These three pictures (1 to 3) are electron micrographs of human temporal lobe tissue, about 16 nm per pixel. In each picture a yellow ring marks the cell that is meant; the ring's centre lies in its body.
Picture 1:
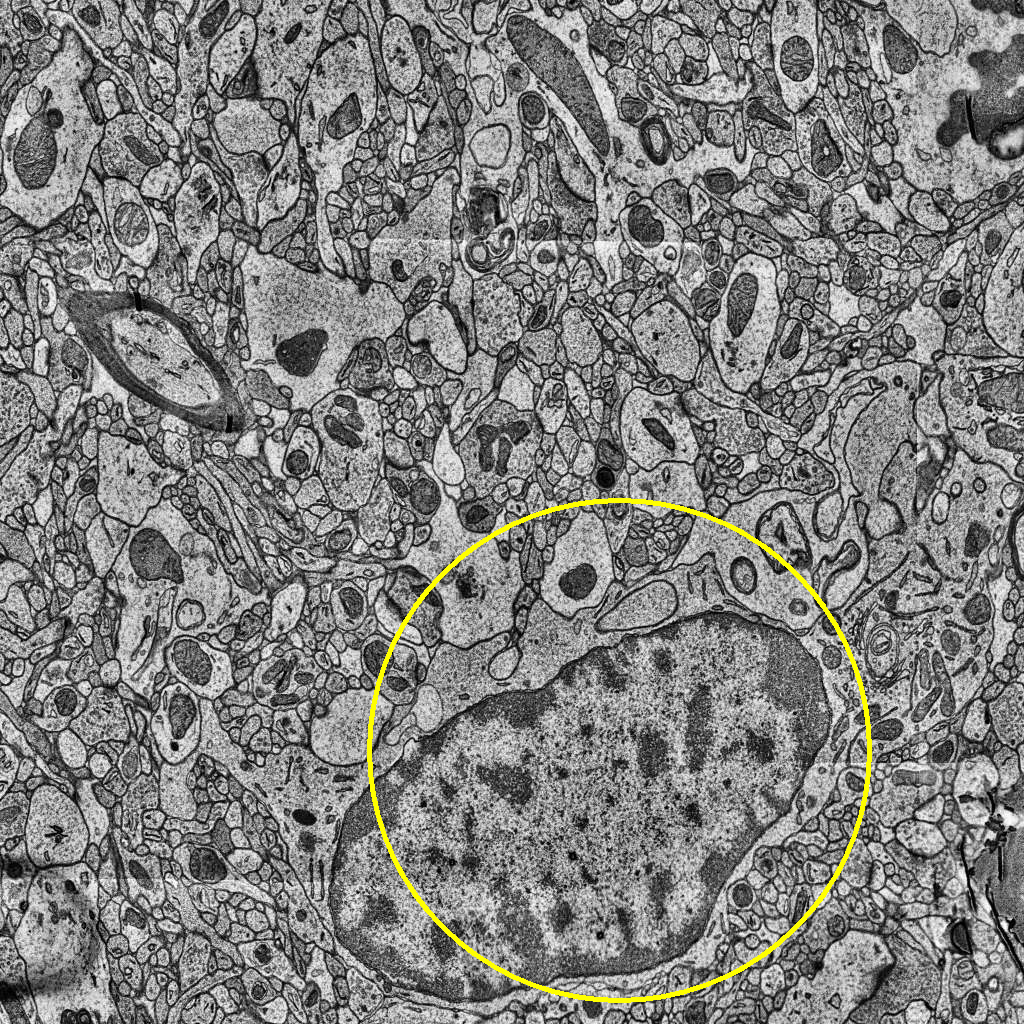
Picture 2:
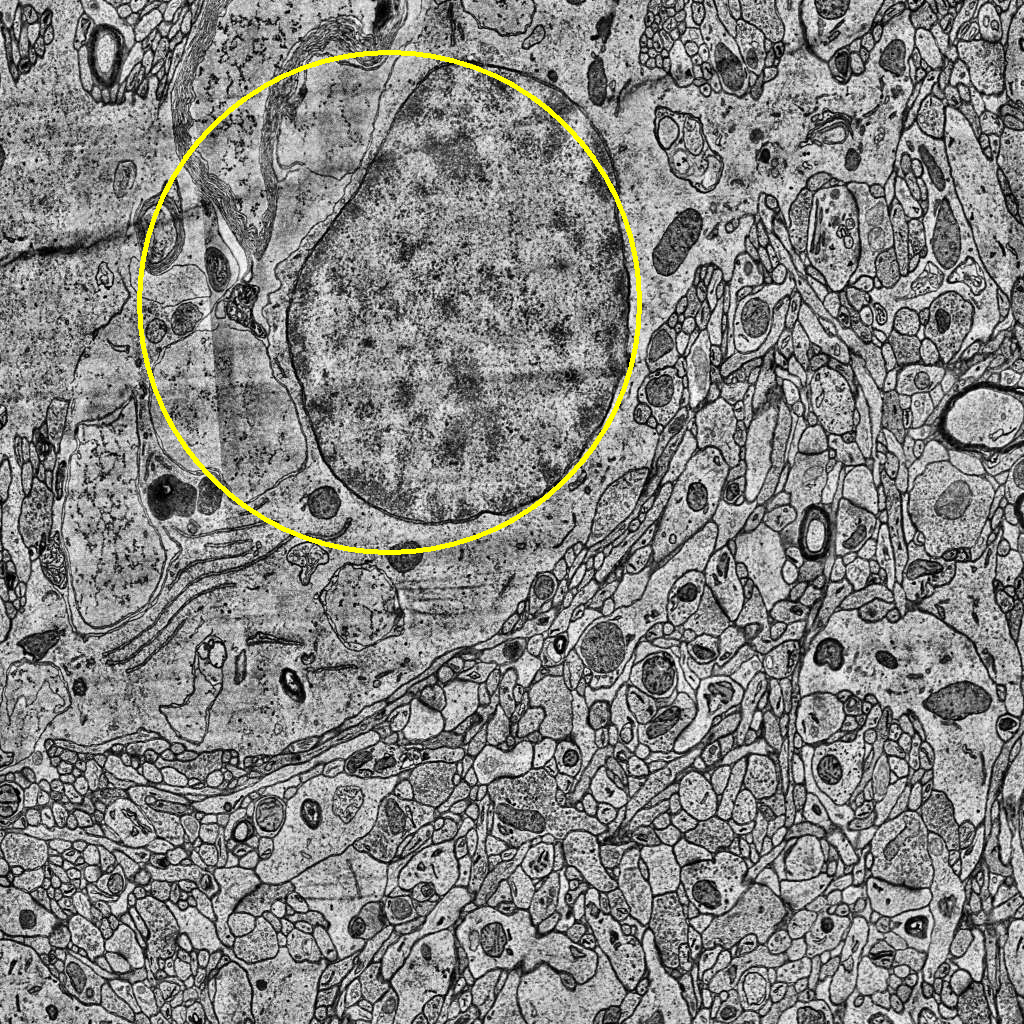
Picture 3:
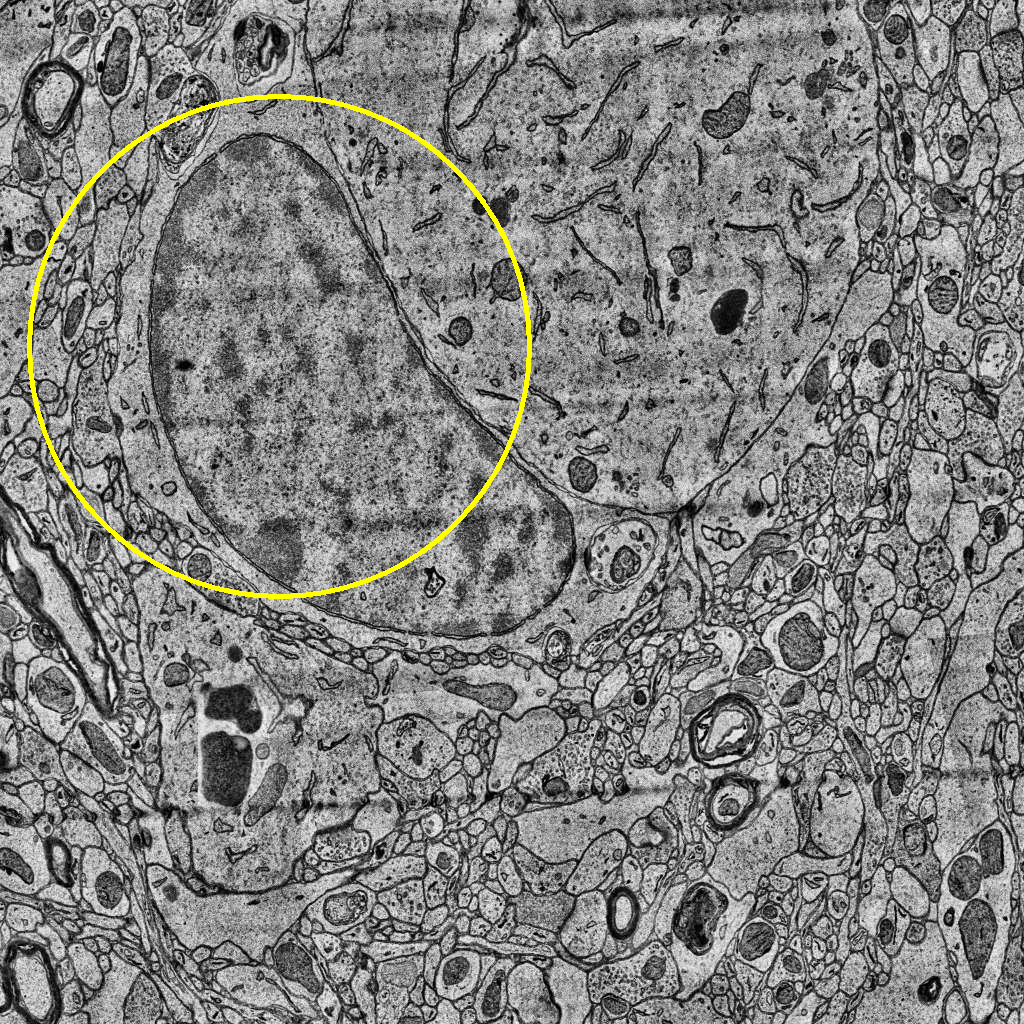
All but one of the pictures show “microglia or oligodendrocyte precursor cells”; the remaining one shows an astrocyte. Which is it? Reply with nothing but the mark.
2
